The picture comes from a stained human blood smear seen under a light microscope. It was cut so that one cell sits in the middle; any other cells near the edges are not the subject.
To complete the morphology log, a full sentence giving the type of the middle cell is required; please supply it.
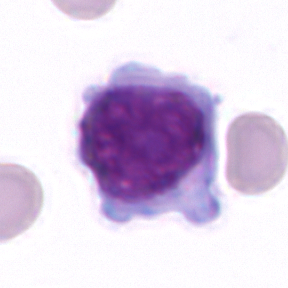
The cell around which this crop is centred is a plasma cell.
